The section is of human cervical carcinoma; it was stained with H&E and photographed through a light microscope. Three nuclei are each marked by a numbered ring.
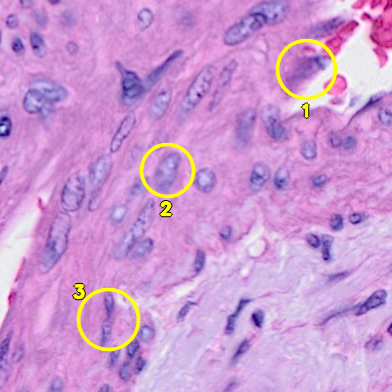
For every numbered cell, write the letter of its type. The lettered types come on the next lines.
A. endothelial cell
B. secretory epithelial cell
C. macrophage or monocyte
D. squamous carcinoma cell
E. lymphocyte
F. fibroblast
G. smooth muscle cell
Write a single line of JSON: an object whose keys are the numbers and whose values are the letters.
{"1": "A", "2": "G", "3": "G"}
